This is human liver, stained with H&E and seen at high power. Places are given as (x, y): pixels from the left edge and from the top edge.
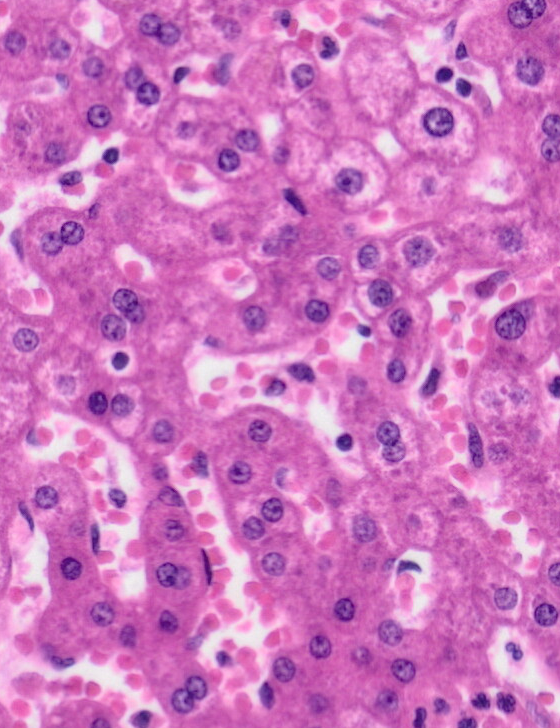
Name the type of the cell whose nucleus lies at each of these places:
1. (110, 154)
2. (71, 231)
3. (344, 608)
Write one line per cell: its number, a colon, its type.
1: lymphocyte
2: hepatocyte
3: hepatocyte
